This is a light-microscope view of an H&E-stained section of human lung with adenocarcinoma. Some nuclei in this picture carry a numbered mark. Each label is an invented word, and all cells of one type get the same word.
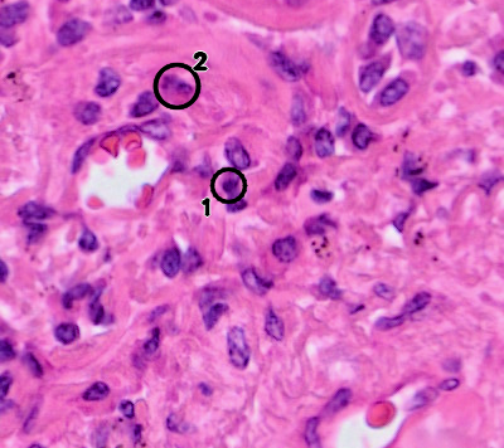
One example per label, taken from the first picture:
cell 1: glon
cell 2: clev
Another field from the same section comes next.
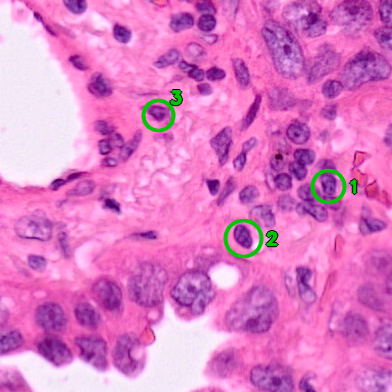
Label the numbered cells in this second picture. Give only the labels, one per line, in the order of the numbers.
glon
glon
clev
